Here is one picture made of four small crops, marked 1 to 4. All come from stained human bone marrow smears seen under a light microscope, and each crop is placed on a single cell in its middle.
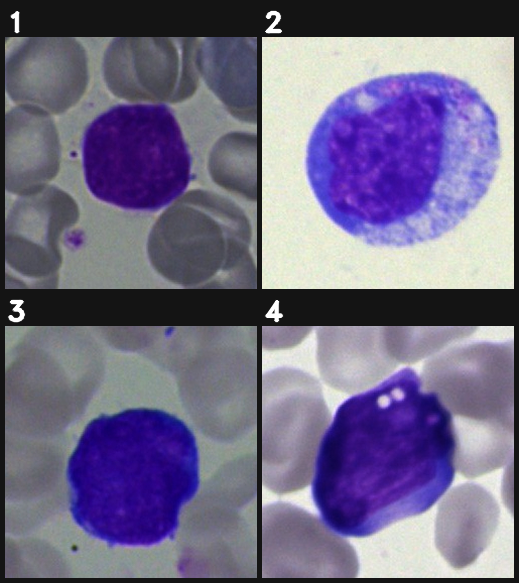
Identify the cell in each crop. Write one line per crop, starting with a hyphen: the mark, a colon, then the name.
- 1: lymphocyte
- 2: promyelocyte
- 3: blast
- 4: blast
